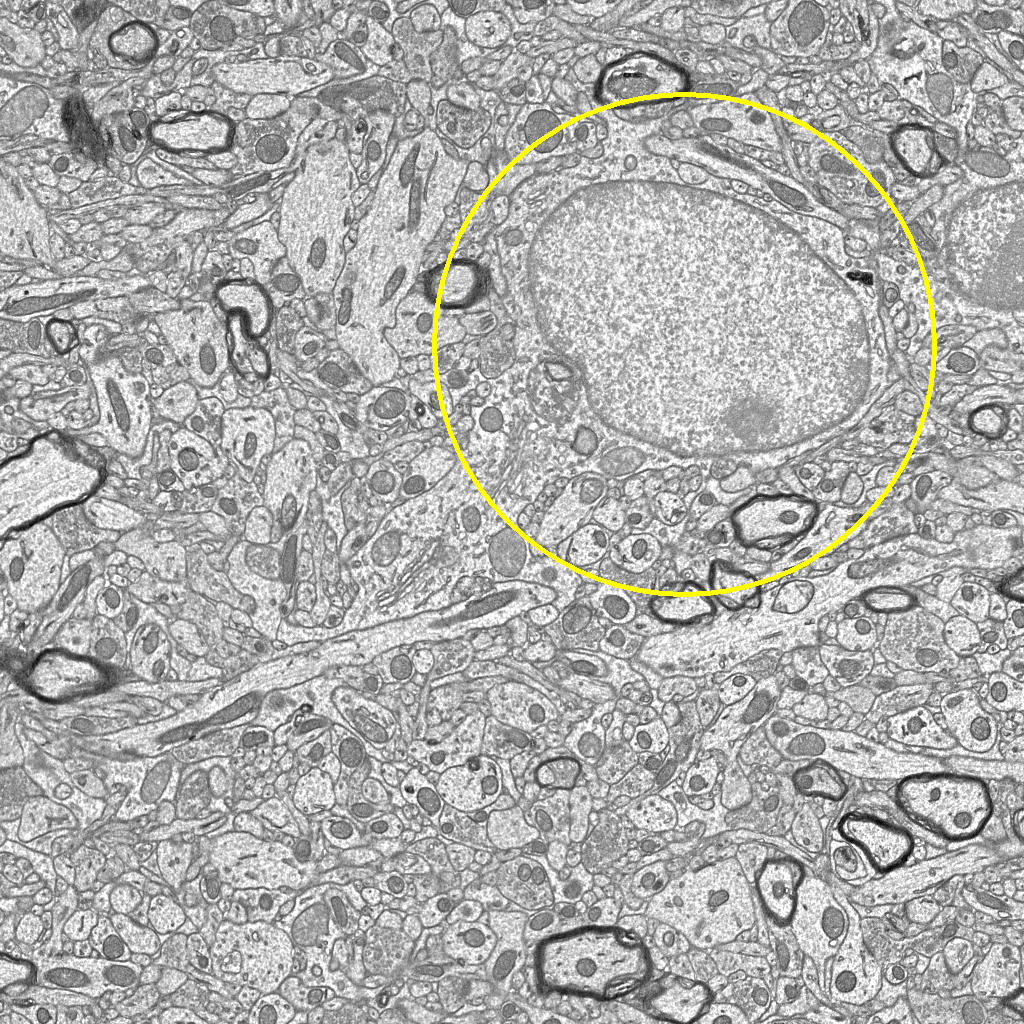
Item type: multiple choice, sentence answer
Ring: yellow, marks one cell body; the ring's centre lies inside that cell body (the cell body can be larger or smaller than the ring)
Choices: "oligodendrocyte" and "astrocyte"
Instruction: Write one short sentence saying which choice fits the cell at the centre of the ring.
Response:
The centre of this ring lies on an astrocyte.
